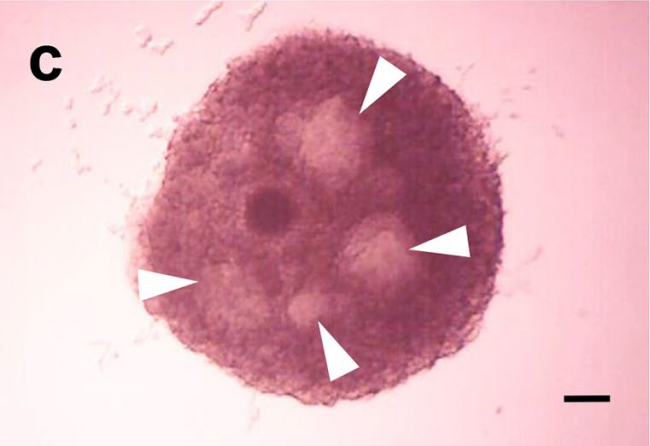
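The oocyte appears as a dark round body set within the mass, surrounded by tightly packed cumulus cells. The granulosa cell layer is thick, dark and finely granular, with a slightly ragged outer edge where cells spread onto the dish. Within this layer lie several pale, translucent, rounded cavities of different sizes, marking antrum formation, which gives the complex a follicle-like appearance. Small loose fragments and debris lie around the outside.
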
